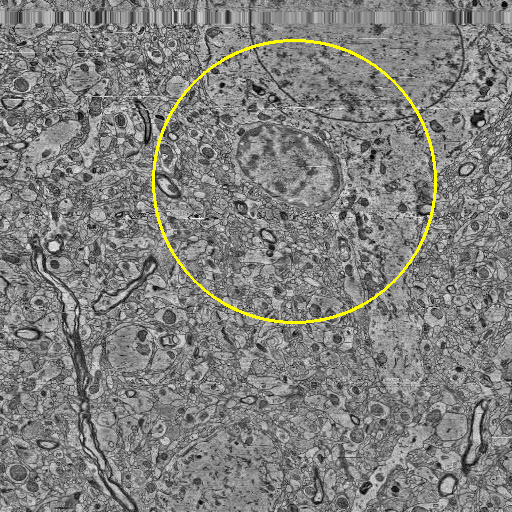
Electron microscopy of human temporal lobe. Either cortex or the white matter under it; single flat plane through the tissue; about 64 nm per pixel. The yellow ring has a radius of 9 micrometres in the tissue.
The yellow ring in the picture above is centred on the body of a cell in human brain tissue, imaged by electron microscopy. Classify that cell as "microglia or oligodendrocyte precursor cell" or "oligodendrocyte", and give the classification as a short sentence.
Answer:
The cell in the middle of the ring is an oligodendrocyte.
